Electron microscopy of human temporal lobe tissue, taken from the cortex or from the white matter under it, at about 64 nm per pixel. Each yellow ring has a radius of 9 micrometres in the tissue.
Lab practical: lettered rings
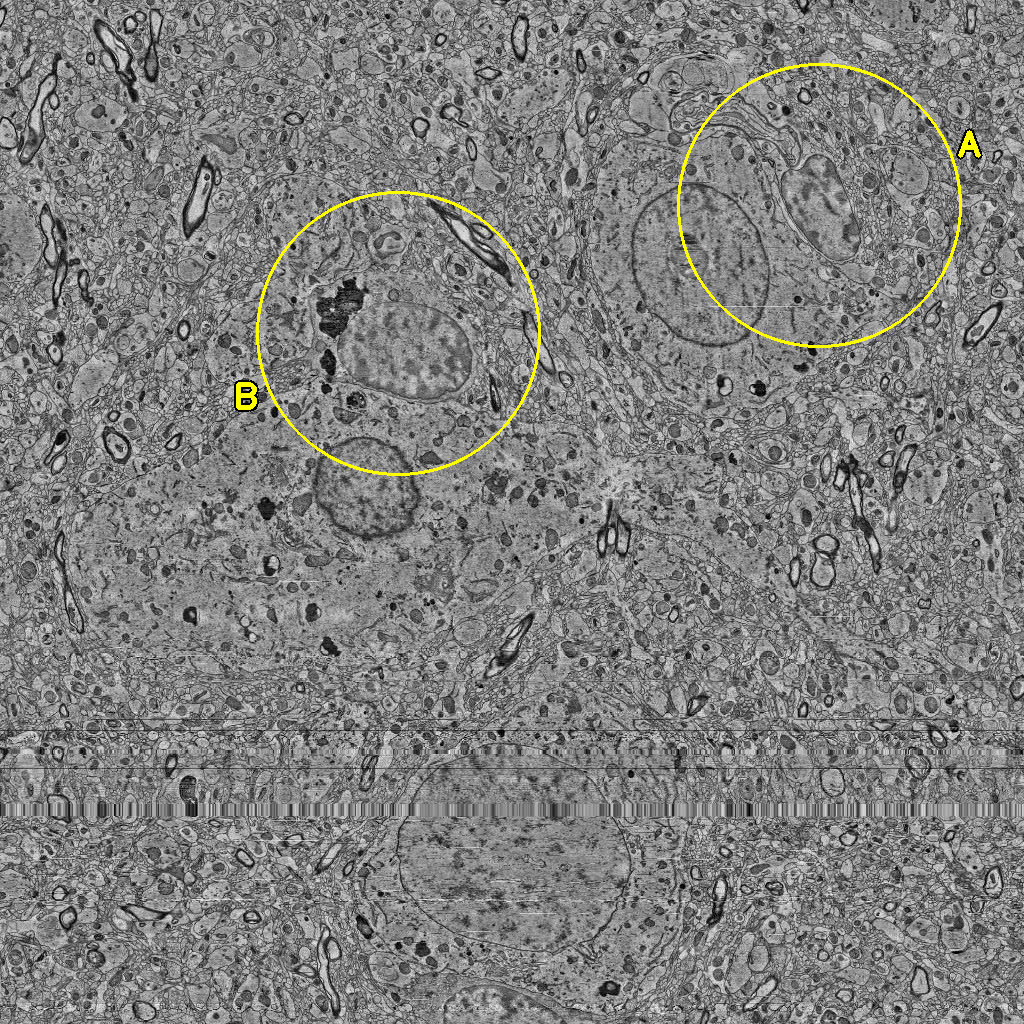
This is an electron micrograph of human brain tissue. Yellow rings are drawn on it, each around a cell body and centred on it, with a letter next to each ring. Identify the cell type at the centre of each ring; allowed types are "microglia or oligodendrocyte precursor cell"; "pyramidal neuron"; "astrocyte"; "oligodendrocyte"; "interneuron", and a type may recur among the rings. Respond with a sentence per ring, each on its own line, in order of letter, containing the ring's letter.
Lying at the centre of ring A is a microglial cell or oligodendrocyte precursor cell.
Lying at the centre of ring B is an oligodendrocyte.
